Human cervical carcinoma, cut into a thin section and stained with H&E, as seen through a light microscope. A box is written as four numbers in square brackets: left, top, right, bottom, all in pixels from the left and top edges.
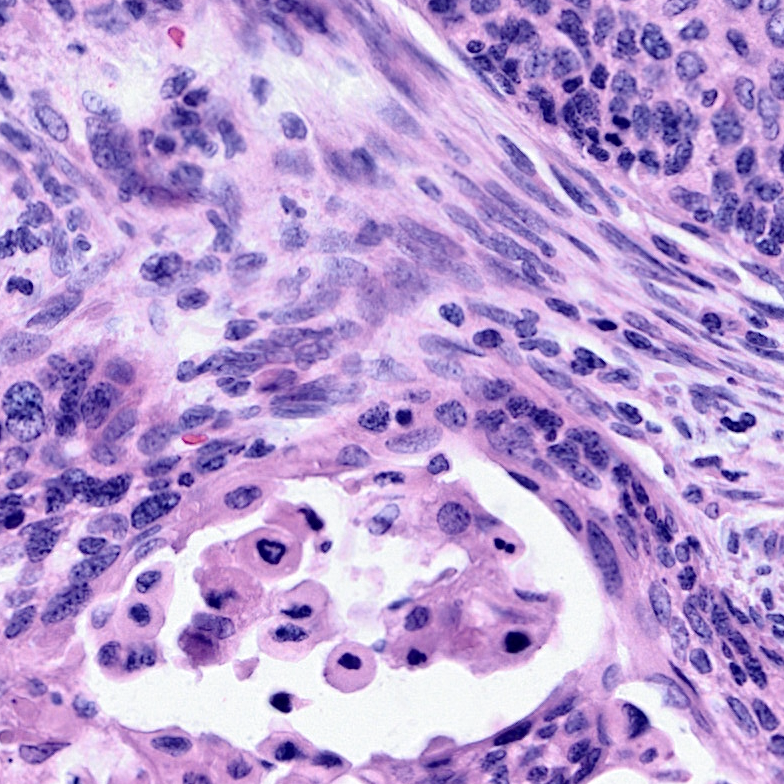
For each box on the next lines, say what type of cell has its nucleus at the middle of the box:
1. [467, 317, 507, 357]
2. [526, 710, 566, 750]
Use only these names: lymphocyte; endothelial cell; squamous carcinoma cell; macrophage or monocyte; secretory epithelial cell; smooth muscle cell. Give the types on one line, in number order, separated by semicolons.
lymphocyte; squamous carcinoma cell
